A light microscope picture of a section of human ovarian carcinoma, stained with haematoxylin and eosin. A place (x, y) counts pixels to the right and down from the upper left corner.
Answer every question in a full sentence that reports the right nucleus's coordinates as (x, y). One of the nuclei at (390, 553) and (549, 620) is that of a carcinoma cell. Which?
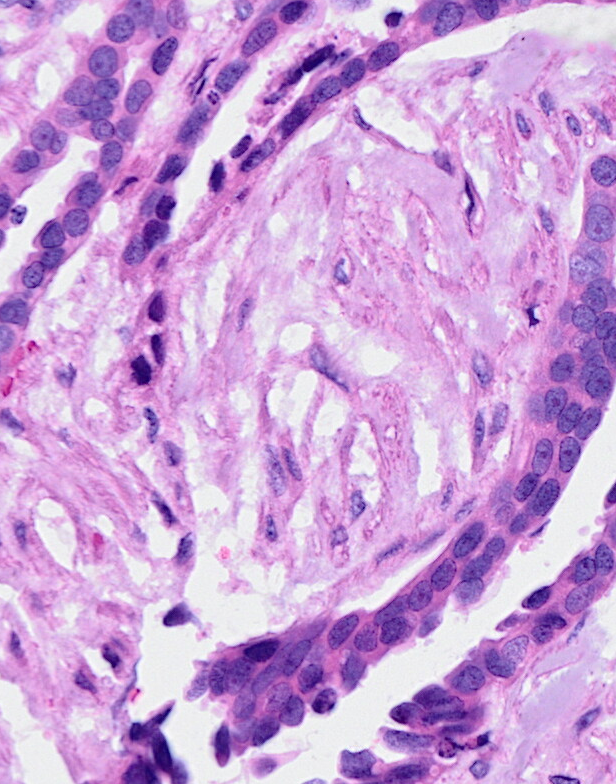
At (549, 620) lies the nucleus that belongs to a carcinoma cell.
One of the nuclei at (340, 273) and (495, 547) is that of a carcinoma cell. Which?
The pair contains one nucleus of a carcinoma cell, namely the one at (495, 547).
